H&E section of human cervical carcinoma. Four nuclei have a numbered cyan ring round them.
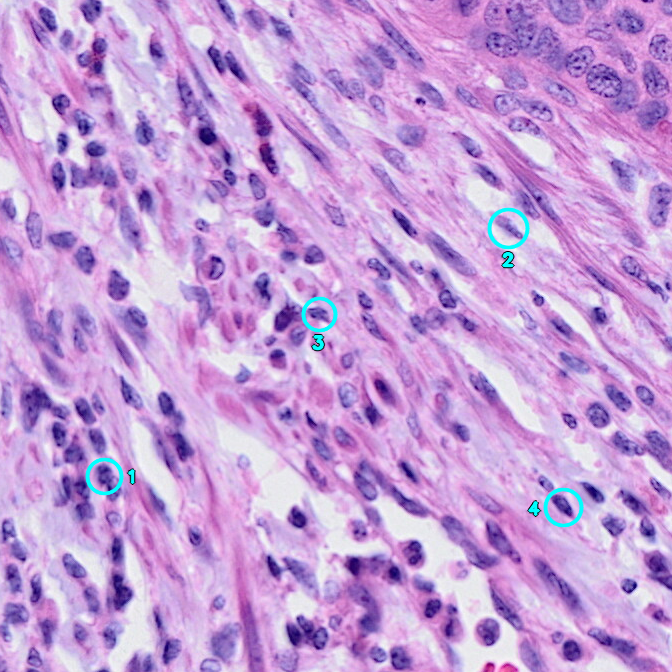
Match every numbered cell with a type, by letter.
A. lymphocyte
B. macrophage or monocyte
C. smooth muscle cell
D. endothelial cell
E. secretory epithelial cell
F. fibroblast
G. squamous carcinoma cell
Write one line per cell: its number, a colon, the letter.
1: A
2: F
3: A
4: A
